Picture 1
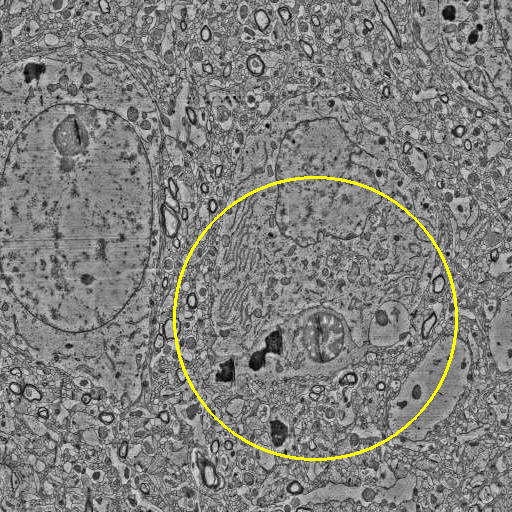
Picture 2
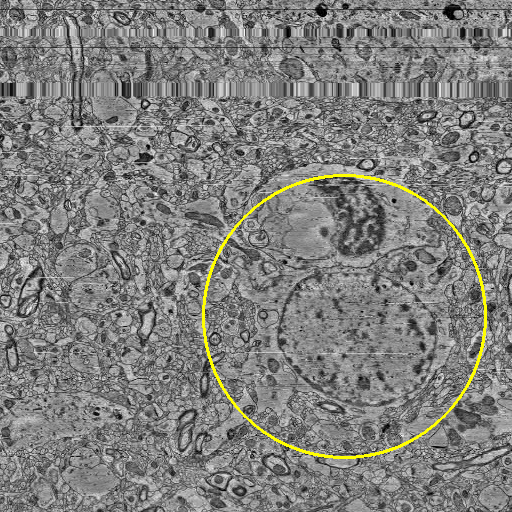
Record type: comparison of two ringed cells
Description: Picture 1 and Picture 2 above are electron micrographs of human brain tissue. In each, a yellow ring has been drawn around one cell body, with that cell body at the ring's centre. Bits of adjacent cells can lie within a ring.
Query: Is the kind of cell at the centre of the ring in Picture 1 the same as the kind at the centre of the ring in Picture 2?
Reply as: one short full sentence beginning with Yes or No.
No, the two ringed cells are of two separate kinds.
